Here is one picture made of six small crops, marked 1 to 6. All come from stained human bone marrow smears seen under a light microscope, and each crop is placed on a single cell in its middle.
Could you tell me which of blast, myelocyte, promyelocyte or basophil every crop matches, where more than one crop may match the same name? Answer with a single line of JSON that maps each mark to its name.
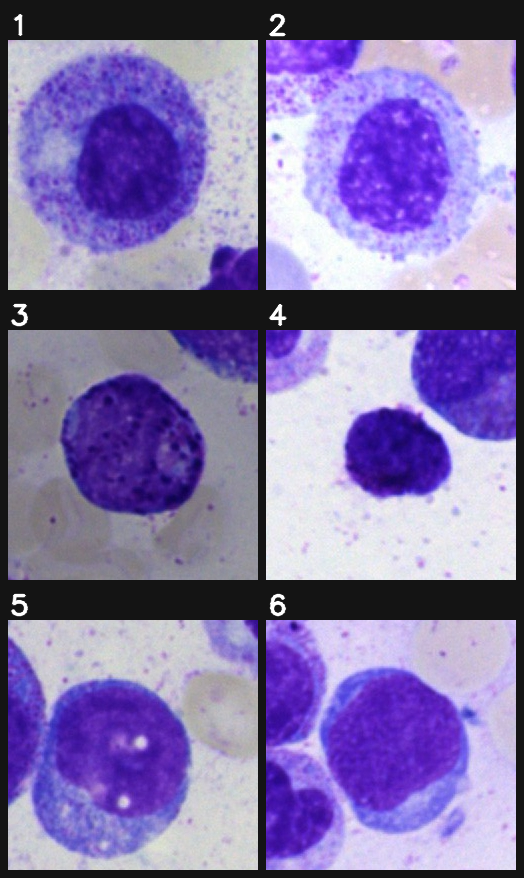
{"1": "myelocyte", "2": "myelocyte", "3": "basophil", "4": "basophil", "5": "blast", "6": "blast"}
